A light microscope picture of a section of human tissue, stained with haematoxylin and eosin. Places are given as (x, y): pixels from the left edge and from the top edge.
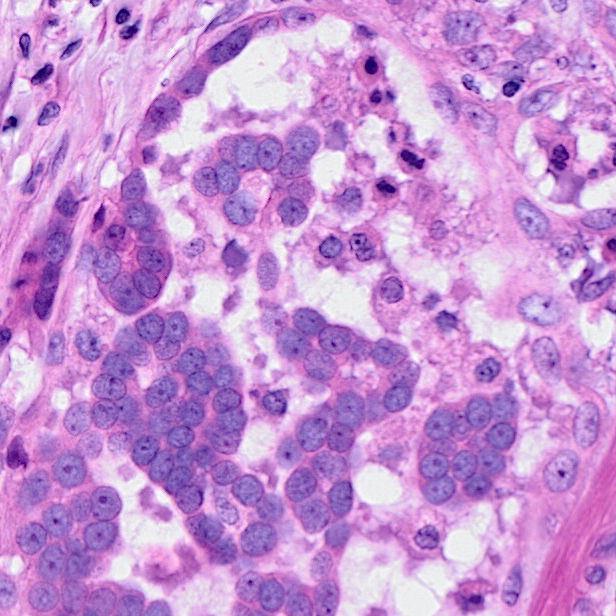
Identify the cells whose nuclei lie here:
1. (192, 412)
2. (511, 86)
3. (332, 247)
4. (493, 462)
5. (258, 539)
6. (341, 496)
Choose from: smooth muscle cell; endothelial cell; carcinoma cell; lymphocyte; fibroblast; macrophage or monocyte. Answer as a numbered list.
1. carcinoma cell
2. lymphocyte
3. macrophage or monocyte
4. carcinoma cell
5. carcinoma cell
6. carcinoma cell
